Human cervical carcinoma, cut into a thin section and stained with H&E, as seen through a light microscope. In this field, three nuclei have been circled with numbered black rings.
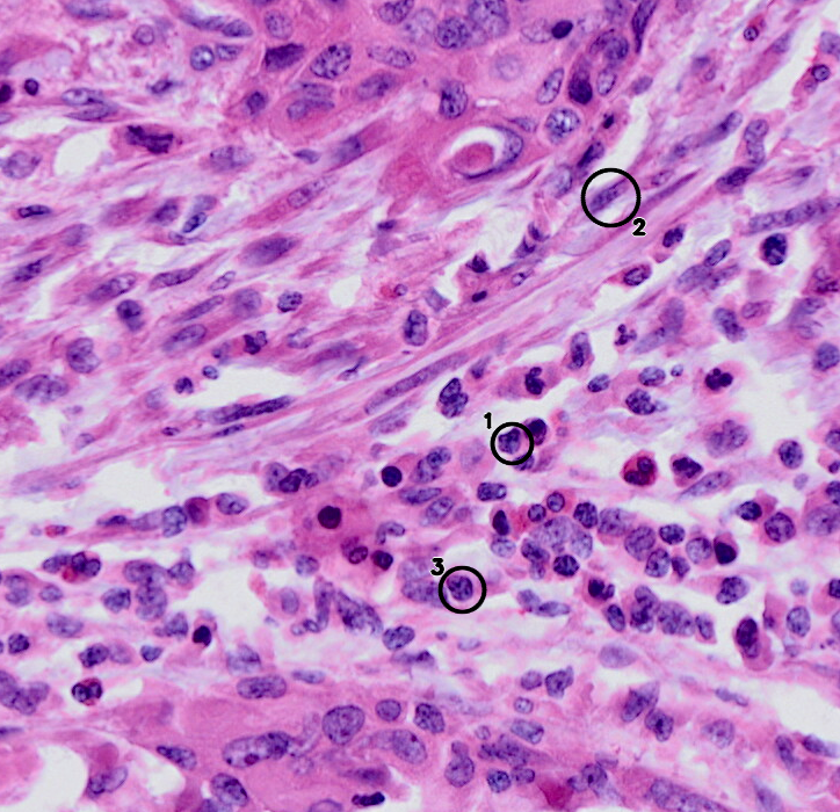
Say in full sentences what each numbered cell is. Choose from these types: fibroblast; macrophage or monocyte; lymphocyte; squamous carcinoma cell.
Cells 1 and 3 are lymphocytes. Cell 2 is a fibroblast.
